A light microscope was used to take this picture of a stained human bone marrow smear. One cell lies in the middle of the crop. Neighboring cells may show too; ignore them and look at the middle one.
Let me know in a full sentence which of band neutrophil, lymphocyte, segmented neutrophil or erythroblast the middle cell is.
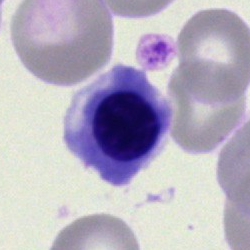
Where the crop is centred, there is an erythroblast.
